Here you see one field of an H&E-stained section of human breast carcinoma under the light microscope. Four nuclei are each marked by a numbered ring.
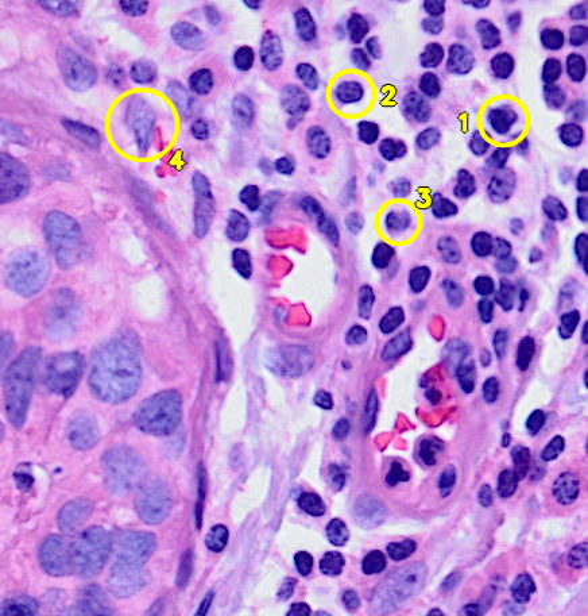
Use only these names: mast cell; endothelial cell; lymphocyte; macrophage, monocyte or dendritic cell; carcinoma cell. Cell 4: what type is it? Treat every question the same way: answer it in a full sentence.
The cell referred to as 4 is an endothelial cell.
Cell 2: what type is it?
In the marked set, the cell given number 2 is a lymphocyte.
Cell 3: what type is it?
Cell number 3 in this section is a lymphocyte.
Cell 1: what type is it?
The numeral 1 marks a lymphocyte in this section.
